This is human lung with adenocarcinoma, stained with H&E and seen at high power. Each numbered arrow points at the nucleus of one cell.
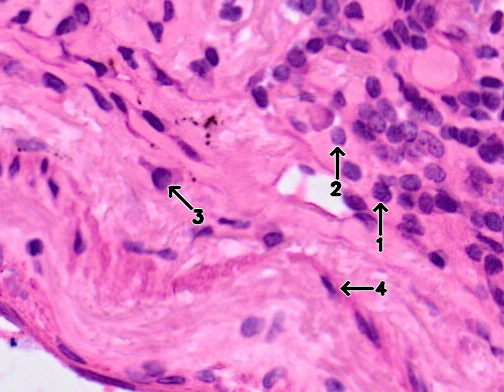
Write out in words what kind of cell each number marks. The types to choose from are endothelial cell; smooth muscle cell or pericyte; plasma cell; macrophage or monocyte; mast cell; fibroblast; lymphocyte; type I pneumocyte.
Cell 1 is a lymphocyte, cell 2 is a lymphocyte, cell 3 is a plasma cell and cell 4 is a smooth muscle cell or pericyte.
